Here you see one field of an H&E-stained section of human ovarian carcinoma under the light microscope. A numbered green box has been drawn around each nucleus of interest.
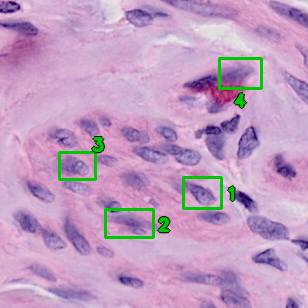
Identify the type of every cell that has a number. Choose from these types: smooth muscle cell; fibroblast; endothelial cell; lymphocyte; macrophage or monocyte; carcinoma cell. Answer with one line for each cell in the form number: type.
1: smooth muscle cell
2: smooth muscle cell
3: smooth muscle cell
4: endothelial cell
